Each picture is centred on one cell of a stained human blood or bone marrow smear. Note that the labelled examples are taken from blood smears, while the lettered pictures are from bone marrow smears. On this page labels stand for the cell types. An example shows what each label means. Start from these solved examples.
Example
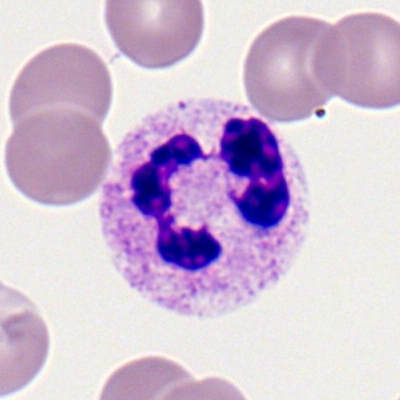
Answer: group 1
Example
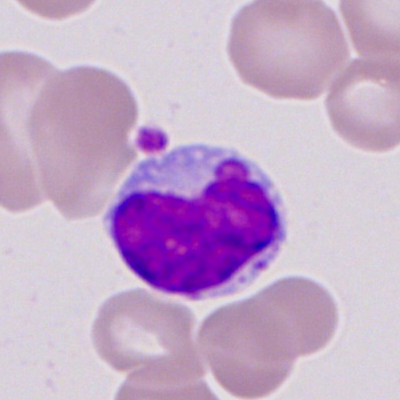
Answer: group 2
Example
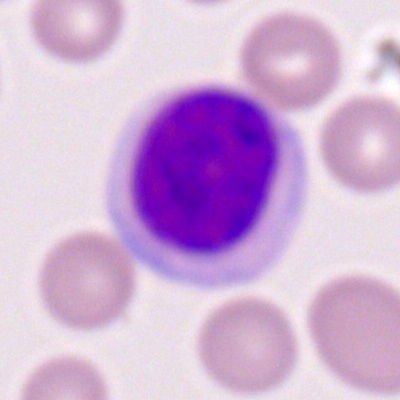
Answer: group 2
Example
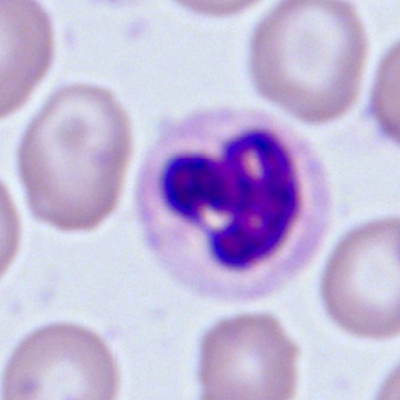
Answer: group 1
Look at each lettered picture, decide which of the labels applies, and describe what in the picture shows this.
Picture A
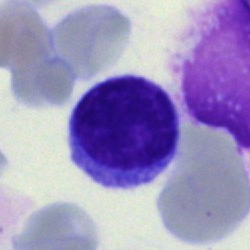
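group 2. The cytoplasm is scant.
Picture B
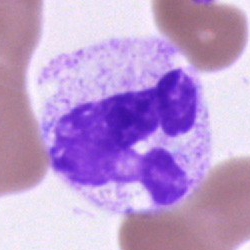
group 1. The cytoplasm holds many fine violet granules scattered throughout.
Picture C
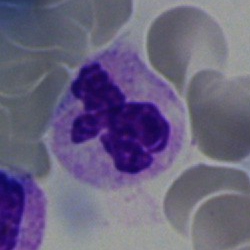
group 1. The cytoplasm is plentiful and pale lilac-pink.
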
